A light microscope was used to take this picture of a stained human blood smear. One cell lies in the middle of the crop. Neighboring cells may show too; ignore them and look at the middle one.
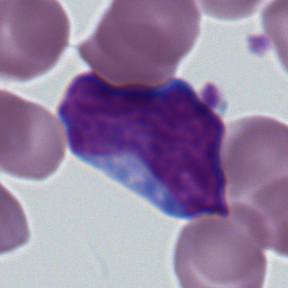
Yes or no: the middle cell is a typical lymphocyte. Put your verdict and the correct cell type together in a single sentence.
No, not a typical lymphocyte but a myeloblast is the cell in the centre.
